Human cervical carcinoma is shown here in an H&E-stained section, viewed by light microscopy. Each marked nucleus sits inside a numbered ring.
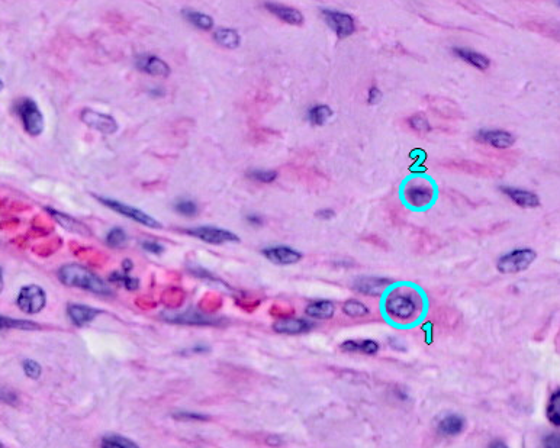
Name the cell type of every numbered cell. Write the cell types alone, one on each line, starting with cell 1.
endothelial cell
smooth muscle cell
